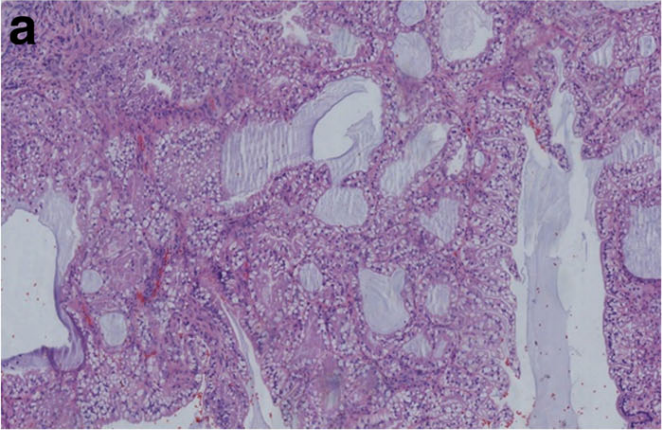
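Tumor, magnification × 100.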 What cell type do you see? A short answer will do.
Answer: Polyhedral cells with abundant optically clear cytoplasm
